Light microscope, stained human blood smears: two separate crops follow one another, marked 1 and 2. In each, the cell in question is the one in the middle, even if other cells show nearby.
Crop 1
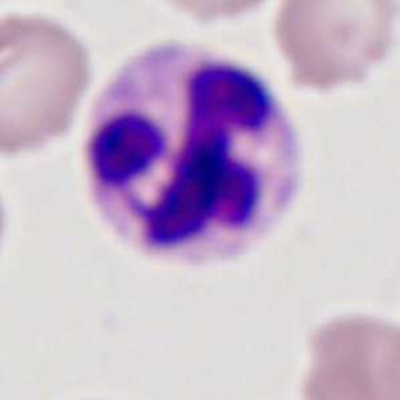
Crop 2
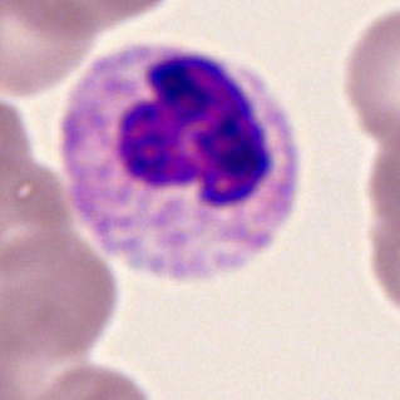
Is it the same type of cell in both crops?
yes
